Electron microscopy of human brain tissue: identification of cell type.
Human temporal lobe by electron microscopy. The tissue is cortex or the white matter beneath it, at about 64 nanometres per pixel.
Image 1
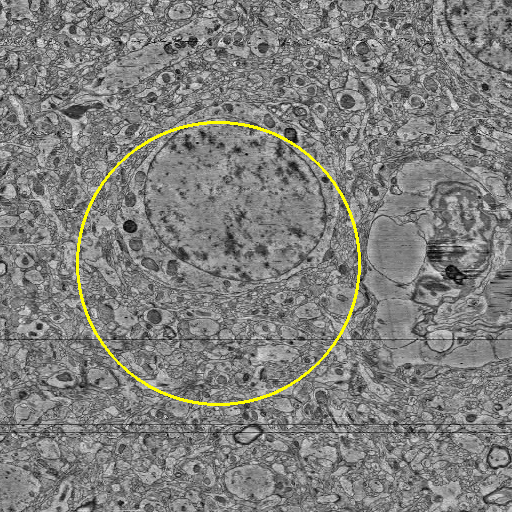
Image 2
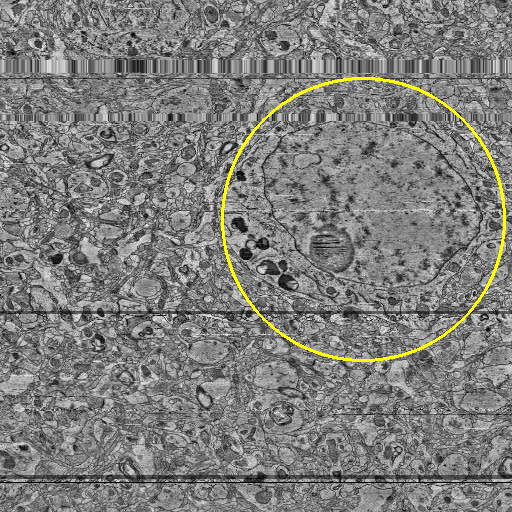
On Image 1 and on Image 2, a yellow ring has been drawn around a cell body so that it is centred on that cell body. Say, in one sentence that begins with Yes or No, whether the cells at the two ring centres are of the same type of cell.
Yes, both cells are the same type of cell.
